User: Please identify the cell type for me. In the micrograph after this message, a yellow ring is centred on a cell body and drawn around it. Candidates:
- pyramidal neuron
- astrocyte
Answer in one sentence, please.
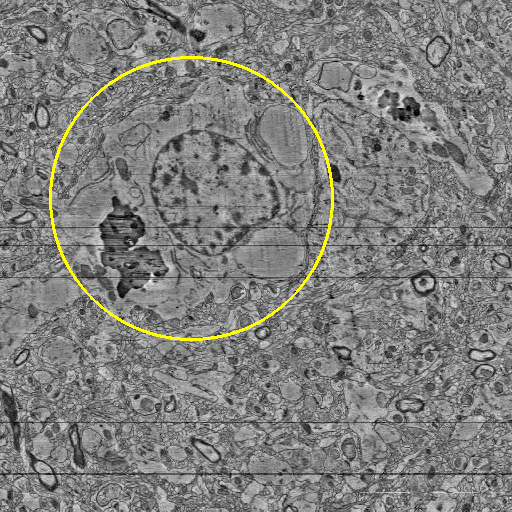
The ring is drawn around the cell body of an astrocyte.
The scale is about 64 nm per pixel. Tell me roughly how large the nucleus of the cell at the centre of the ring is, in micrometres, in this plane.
The nucleus of the ringed cell is approximately 8 micrometres across in this plane.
